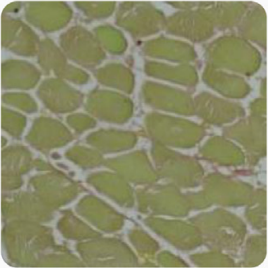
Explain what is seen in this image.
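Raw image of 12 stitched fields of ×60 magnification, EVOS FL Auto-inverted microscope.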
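This is a cross-section of muscle in which myofibers appear as closely packed, rounded to polygonal profiles stained a uniform olive green. The fibers vary in size and shape, some elongated oval, others more angular where they abut their neighbours. Pale whitish bands of interstitial tissue separate the fibers, with a few thin reddish strands running within them.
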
